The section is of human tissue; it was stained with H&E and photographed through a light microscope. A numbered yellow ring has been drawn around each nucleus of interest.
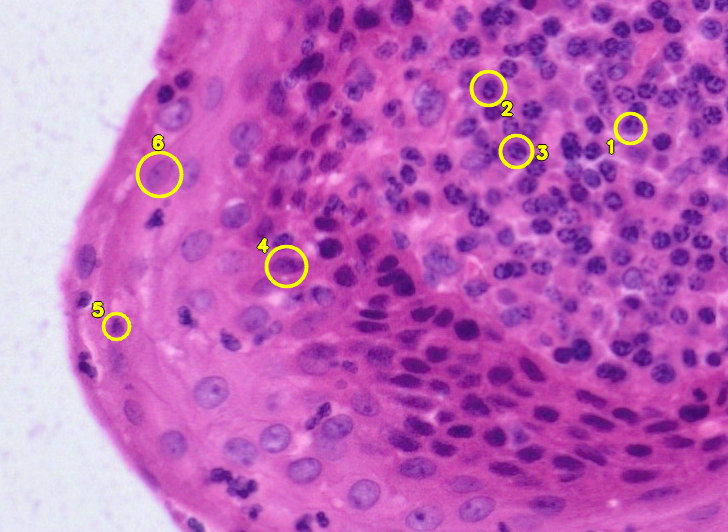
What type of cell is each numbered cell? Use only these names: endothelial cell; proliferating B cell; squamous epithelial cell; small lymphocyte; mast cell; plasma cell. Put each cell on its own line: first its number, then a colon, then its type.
1: plasma cell
2: plasma cell
3: plasma cell
4: squamous epithelial cell
5: squamous epithelial cell
6: squamous epithelial cell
